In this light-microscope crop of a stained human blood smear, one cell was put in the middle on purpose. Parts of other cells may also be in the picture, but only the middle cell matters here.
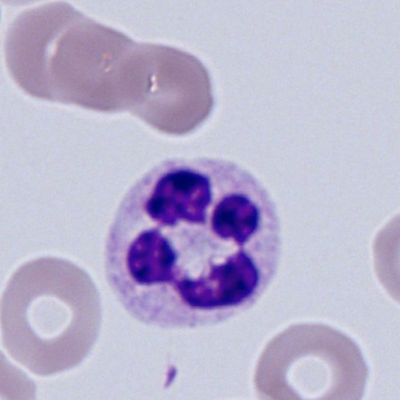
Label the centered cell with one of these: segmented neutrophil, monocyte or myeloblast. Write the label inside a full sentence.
The cell occupying the middle of the crop is a segmented neutrophil.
